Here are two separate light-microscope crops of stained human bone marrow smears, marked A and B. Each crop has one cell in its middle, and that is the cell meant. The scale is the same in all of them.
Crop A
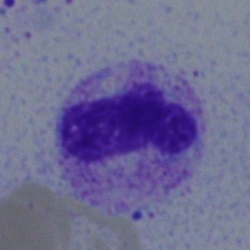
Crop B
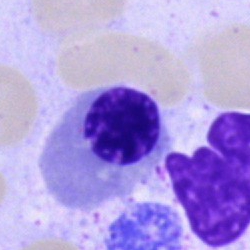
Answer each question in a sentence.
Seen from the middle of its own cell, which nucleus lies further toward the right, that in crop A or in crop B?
It is the nucleus in crop B that lies further toward the right of its cell.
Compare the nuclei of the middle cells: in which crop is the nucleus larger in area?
It is the nucleus in crop A, about 1.5 times as large in area as the one in crop B.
